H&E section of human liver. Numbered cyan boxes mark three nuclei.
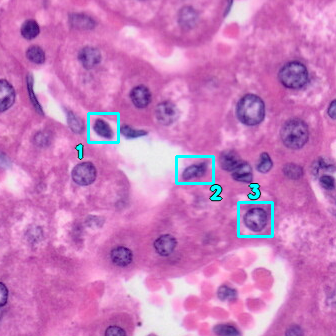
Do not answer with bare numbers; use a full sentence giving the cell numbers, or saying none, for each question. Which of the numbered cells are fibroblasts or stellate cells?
Only one choice fits: cell 2 is a fibroblast or stellate cell, and no other.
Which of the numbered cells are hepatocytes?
With the exception of cell 3, no marked cell is a hepatocyte.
